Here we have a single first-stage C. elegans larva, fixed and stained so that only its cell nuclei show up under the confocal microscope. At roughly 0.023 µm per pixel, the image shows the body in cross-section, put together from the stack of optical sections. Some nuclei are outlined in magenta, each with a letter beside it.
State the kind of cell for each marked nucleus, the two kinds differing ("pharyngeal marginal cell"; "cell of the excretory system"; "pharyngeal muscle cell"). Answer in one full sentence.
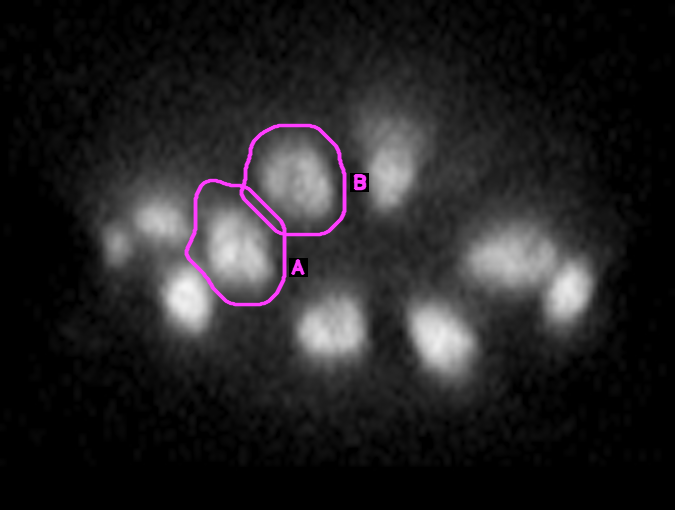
A is from a pharyngeal marginal cell, and B is from a pharyngeal muscle cell.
